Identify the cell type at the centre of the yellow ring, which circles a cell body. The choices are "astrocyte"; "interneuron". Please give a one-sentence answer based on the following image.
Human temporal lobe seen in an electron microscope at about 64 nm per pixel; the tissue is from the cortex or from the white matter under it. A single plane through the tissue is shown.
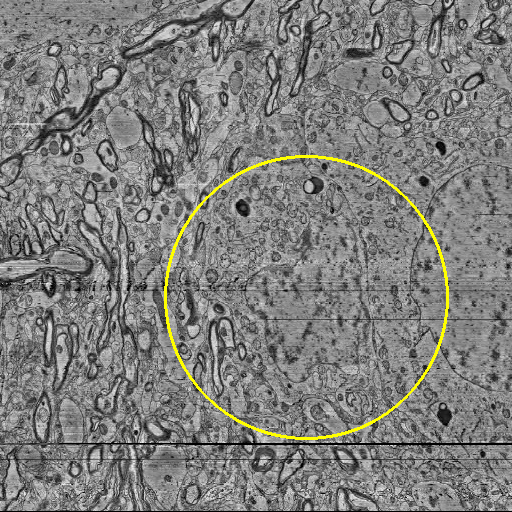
The cell marked by the ring is an interneuron.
